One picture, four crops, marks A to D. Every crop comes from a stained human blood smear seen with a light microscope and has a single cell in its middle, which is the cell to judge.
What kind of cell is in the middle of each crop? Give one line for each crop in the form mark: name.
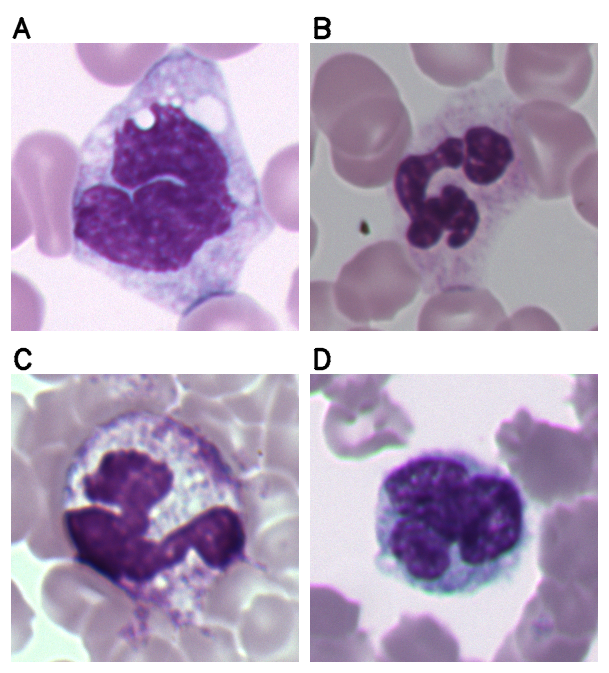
A: monocyte
B: segmented neutrophil
C: segmented neutrophil
D: monocyte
